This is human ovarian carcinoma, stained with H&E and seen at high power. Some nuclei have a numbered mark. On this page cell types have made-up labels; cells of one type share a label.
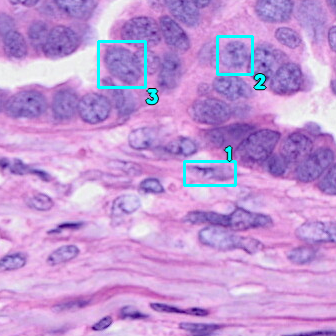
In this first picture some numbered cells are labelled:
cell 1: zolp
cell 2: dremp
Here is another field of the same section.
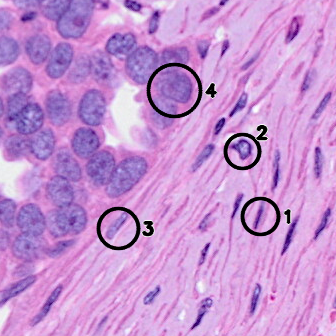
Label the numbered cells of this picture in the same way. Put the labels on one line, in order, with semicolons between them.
zolp; zolp; zolp; dremp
